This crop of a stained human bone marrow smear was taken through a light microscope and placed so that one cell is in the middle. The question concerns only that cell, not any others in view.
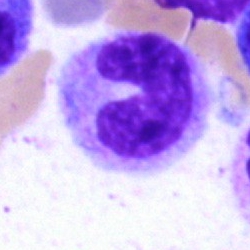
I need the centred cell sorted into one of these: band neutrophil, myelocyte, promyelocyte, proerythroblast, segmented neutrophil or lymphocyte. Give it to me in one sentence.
Standing at the centre of this crop is a band neutrophil.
